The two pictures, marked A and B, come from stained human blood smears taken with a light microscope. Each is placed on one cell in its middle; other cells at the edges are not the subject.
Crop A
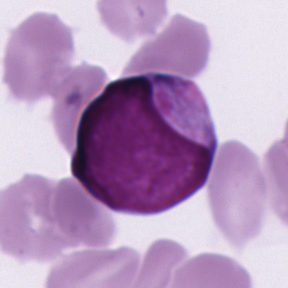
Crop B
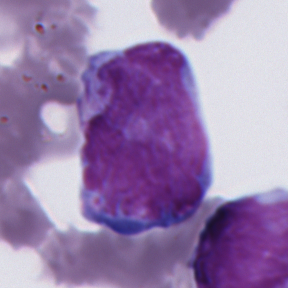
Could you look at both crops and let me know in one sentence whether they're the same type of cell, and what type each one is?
Yes, both crops alike show myeloblasts at the centre.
